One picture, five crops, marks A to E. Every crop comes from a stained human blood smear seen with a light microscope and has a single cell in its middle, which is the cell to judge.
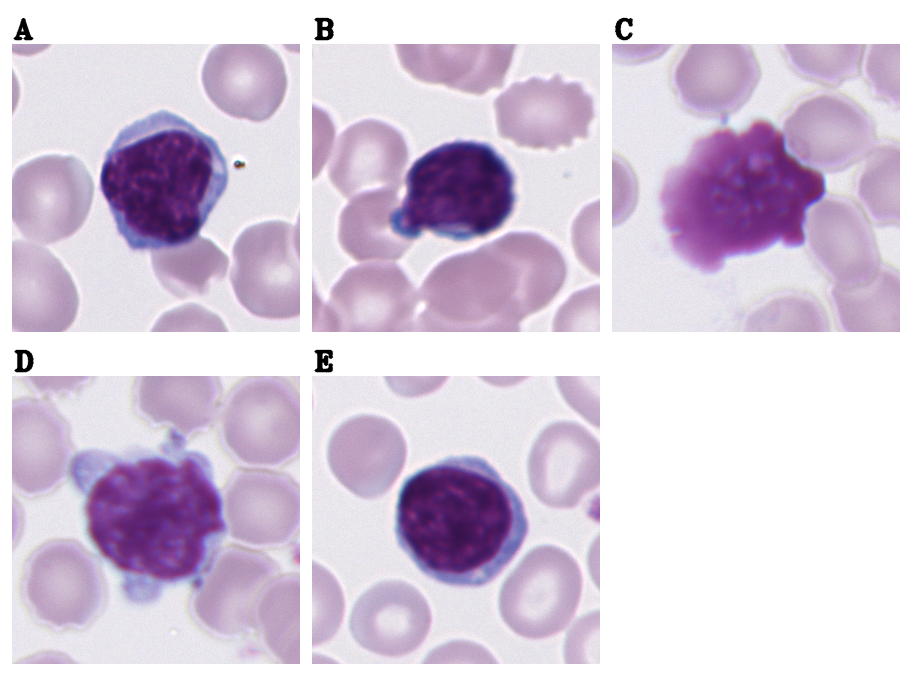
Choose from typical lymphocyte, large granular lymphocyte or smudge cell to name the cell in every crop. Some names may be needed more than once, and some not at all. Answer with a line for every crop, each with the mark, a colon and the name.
A: typical lymphocyte
B: typical lymphocyte
C: smudge cell
D: typical lymphocyte
E: typical lymphocyte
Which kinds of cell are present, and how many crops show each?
typical lymphocyte: 4
smudge cell: 1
